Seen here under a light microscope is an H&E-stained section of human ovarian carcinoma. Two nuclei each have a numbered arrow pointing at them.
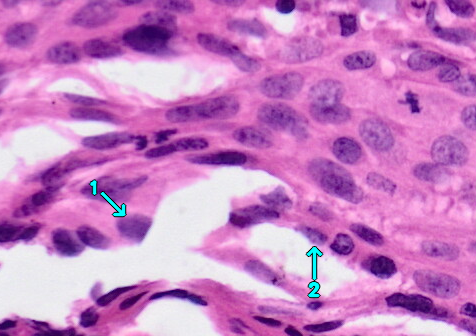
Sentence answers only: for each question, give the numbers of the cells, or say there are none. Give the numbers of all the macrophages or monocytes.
Among the cells marked with numbers, the only one that is a macrophage or monocyte is number 2.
